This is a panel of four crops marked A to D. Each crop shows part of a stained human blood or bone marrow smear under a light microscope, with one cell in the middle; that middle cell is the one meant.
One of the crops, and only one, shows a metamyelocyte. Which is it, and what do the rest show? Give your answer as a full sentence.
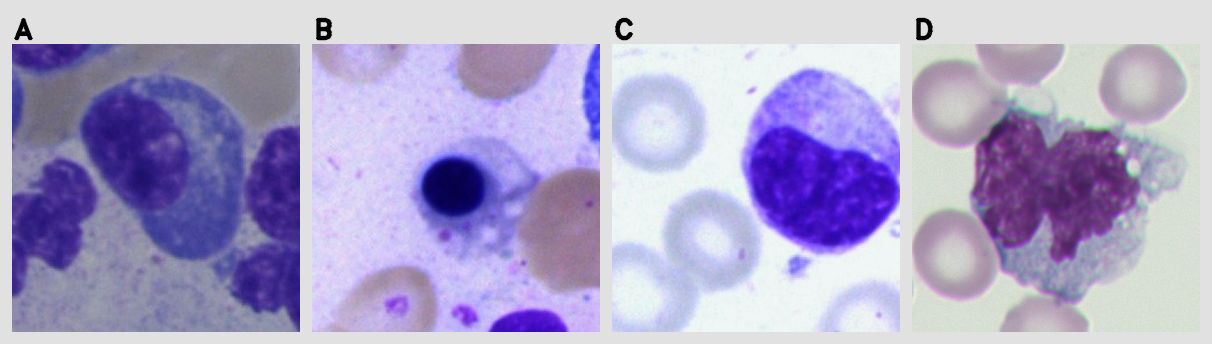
Crop C shows a metamyelocyte, while in contrast crop A is a plasma cell, crop B is an erythroblast and crop D is a monocyte.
